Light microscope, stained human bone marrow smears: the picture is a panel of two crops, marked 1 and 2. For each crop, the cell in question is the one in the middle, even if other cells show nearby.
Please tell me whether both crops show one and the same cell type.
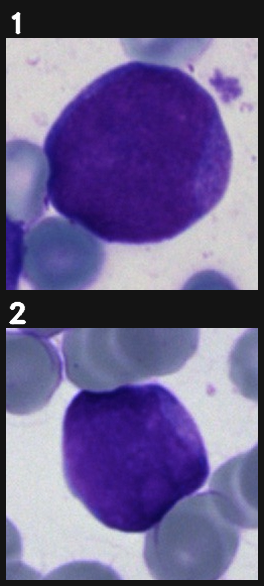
yes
